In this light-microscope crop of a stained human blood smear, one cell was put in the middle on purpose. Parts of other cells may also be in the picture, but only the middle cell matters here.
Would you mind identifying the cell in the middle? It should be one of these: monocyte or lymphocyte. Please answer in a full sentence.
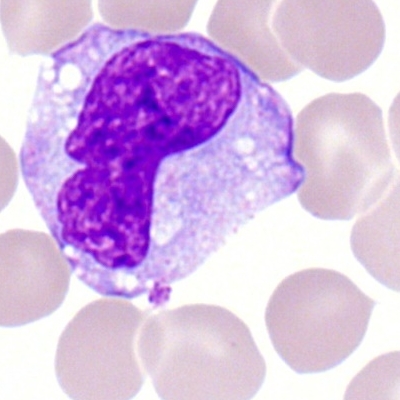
Located at the centre of the crop is a monocyte.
